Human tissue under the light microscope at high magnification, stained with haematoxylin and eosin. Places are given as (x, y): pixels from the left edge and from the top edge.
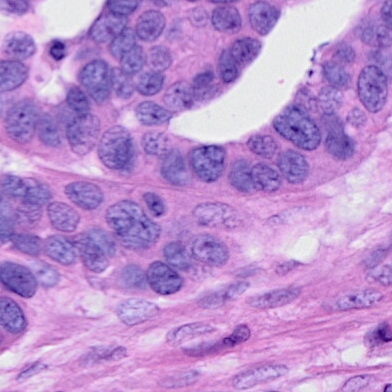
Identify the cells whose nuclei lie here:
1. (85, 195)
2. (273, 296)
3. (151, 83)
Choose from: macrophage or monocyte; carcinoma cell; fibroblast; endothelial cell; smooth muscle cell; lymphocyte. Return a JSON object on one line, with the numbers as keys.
{"1": "carcinoma cell", "2": "fibroblast", "3": "carcinoma cell"}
